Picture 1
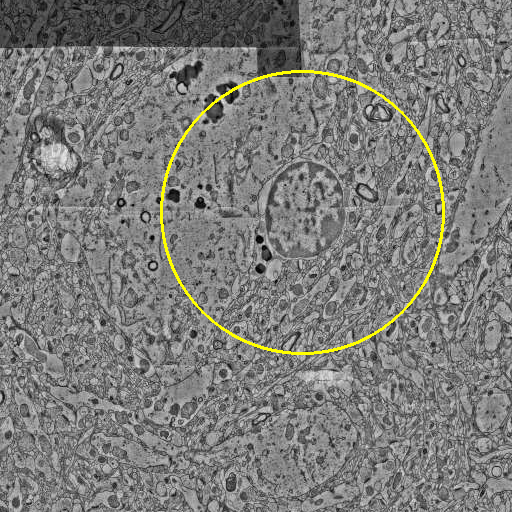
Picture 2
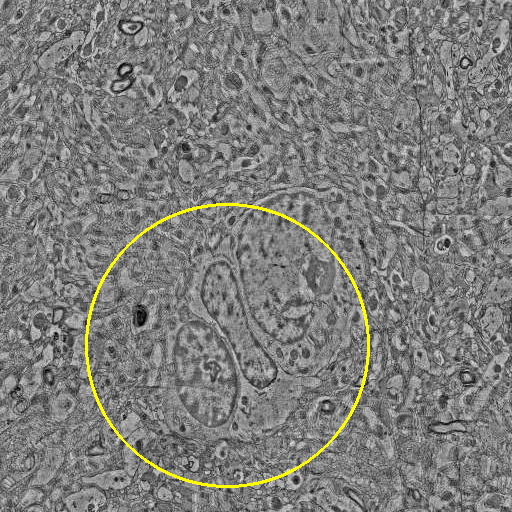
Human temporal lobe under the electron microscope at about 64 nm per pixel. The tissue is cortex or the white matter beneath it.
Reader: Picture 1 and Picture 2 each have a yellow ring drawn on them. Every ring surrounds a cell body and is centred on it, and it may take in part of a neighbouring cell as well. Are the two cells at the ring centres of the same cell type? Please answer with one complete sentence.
Yes, both cells are of the same cell type.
